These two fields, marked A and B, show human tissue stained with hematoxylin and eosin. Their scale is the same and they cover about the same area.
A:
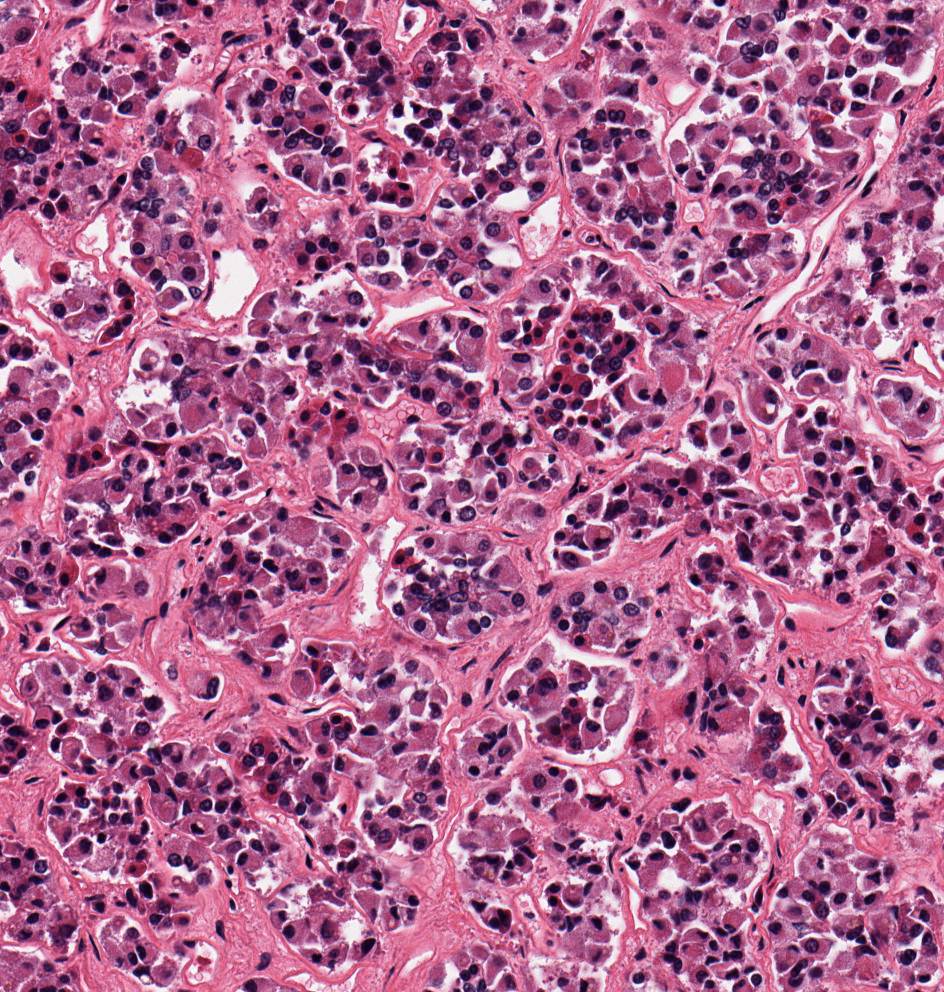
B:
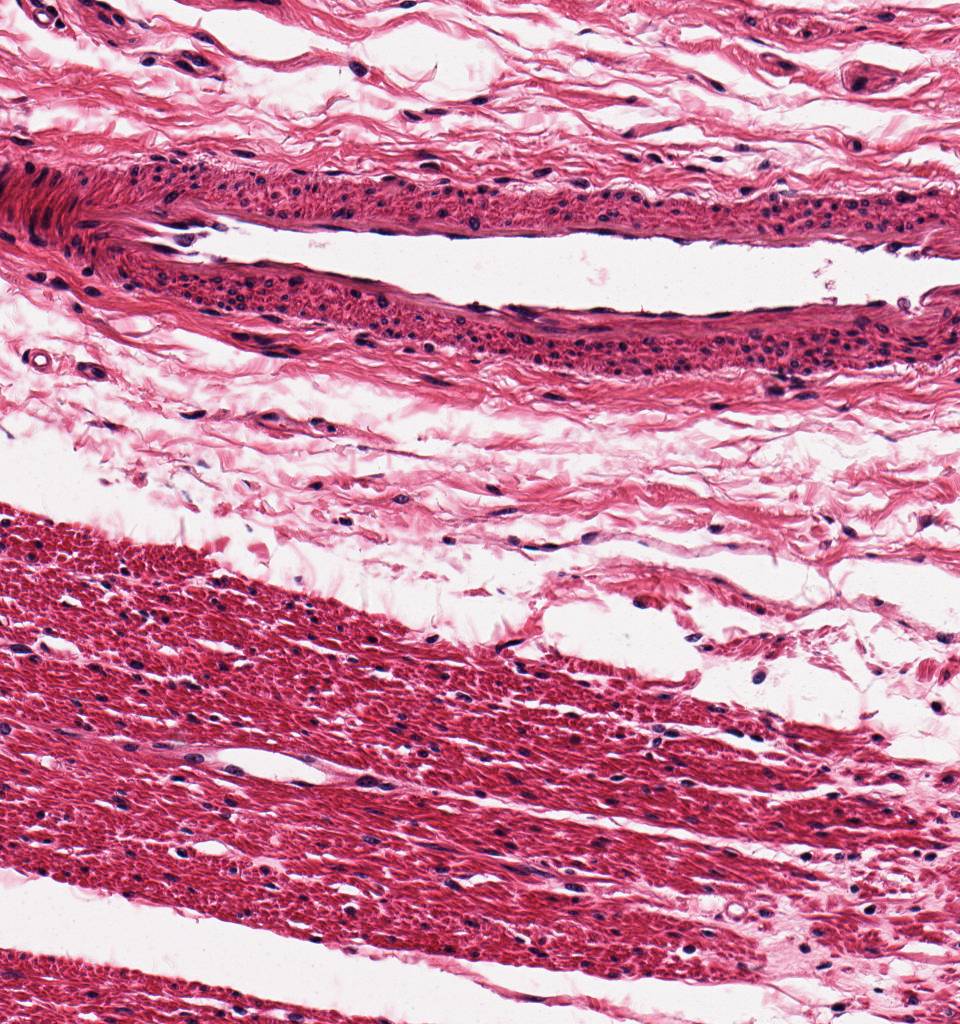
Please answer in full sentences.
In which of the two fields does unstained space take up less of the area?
Picture A has less white space.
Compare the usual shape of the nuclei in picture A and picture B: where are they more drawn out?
It is picture B whose nuclei are the more elongated.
